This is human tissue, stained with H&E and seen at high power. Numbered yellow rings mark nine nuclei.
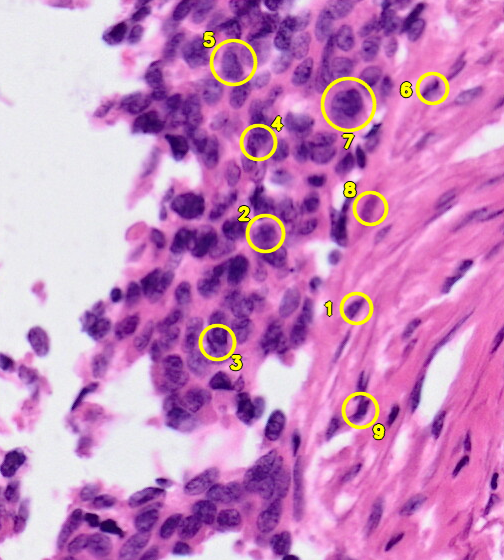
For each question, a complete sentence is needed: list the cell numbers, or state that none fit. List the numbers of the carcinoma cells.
The cells numbered 2, 3, 4, 5 and 7 are, by type, carcinoma cells.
